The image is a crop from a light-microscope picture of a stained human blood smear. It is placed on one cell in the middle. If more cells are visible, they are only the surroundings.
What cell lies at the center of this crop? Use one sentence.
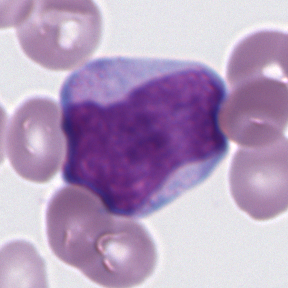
For this crop, the cell in the middle is an atypical promyelocyte.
